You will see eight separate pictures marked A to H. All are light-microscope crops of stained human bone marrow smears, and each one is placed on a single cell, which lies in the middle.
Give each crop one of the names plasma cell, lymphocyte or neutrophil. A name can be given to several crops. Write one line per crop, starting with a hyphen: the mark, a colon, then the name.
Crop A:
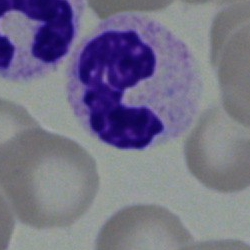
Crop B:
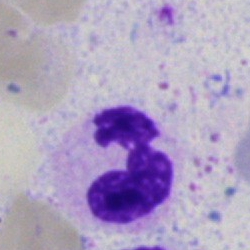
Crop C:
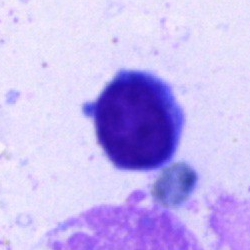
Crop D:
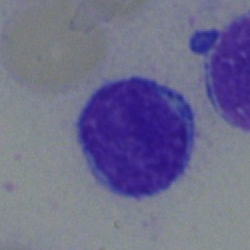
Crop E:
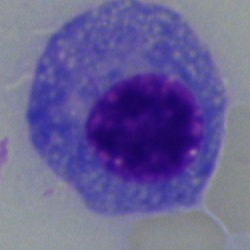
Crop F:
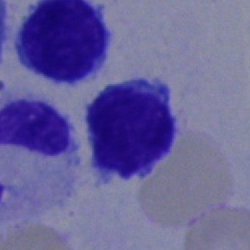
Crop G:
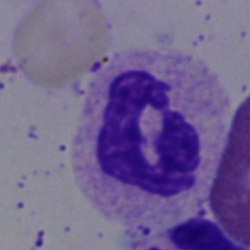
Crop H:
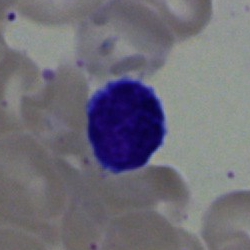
- A: neutrophil
- B: neutrophil
- C: lymphocyte
- D: lymphocyte
- E: plasma cell
- F: lymphocyte
- G: neutrophil
- H: lymphocyte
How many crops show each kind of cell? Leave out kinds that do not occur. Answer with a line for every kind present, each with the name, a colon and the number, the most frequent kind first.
lymphocyte: 4
neutrophil: 3
plasma cell: 1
